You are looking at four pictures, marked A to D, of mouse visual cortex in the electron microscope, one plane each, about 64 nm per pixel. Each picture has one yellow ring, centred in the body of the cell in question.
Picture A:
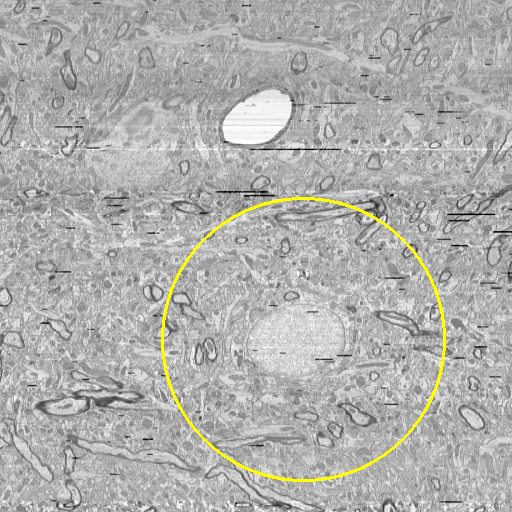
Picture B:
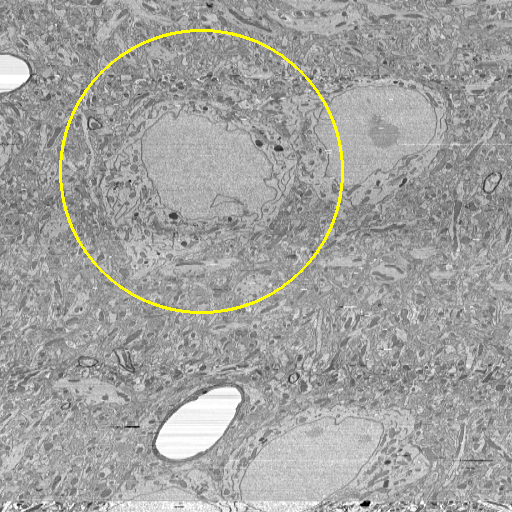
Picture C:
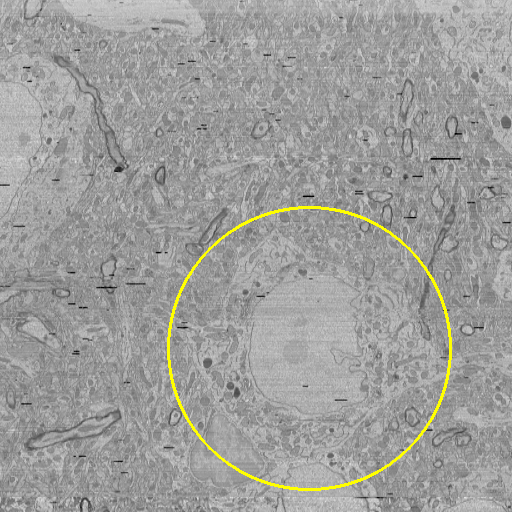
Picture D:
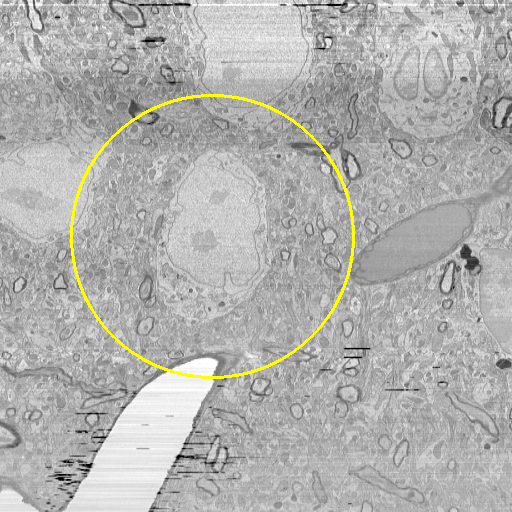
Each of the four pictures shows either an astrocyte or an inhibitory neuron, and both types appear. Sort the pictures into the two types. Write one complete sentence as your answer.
Picture A shows an astrocyte, while pictures B, C and D show inhibitory neurons.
